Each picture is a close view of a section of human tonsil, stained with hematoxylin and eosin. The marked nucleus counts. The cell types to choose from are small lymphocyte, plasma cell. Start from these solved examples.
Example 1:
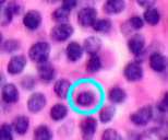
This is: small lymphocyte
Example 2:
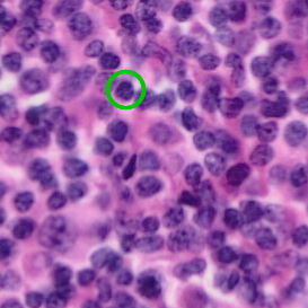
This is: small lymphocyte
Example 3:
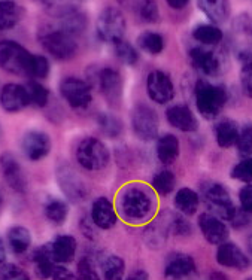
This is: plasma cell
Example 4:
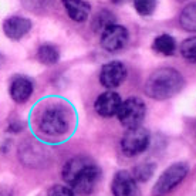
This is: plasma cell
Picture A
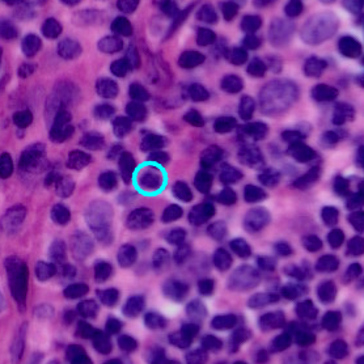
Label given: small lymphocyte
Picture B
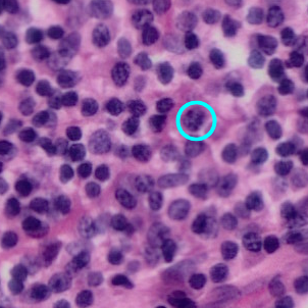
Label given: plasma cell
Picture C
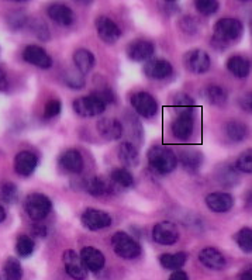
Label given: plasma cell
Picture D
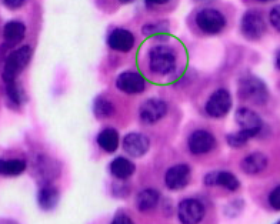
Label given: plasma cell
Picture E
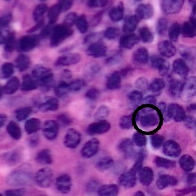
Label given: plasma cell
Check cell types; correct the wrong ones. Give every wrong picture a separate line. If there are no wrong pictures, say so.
E: change plasma cell to small lymphocyte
